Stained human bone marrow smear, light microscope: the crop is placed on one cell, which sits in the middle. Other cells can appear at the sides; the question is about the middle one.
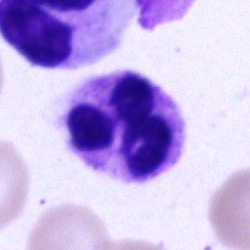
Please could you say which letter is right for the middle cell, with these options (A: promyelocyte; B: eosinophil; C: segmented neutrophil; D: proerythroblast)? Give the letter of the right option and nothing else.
C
